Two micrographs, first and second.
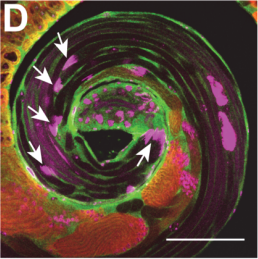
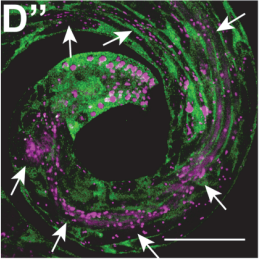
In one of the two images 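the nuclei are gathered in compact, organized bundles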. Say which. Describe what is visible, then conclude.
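The first image. Second image: magenta nuclei lie as scattered small dots along the green strands. First image: magenta nuclei form a few compact elongated clusters.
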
